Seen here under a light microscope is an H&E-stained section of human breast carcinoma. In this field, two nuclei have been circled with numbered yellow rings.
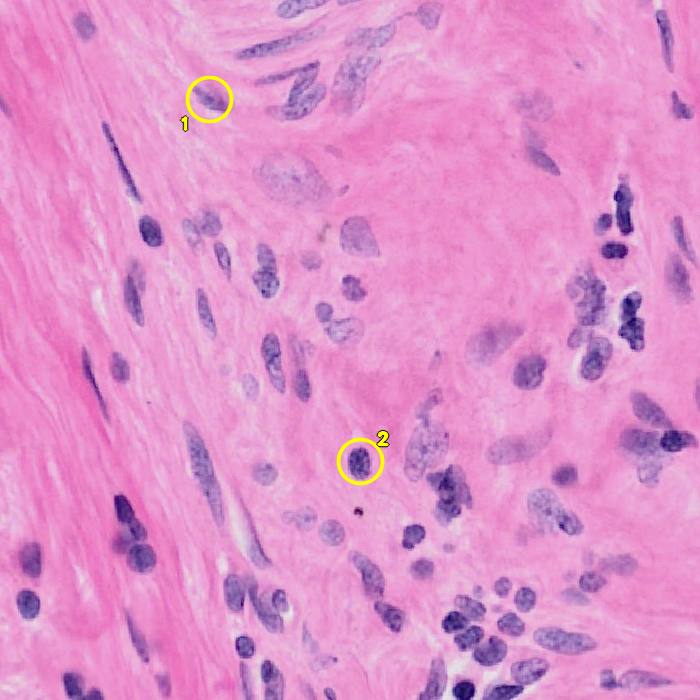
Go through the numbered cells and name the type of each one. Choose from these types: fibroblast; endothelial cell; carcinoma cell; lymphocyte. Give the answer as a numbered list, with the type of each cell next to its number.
1. fibroblast
2. lymphocyte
